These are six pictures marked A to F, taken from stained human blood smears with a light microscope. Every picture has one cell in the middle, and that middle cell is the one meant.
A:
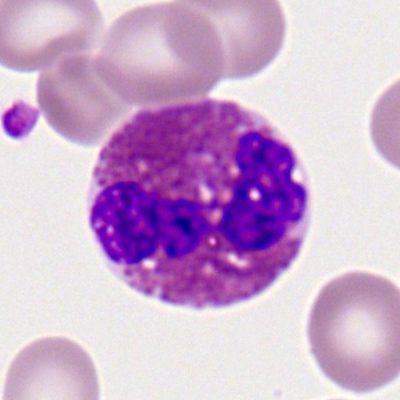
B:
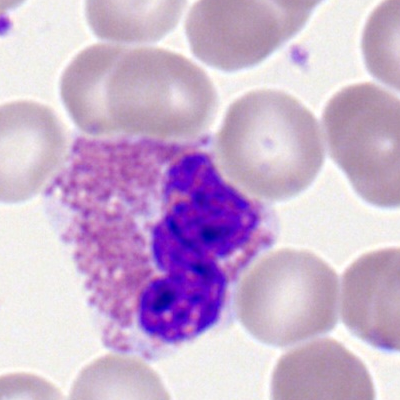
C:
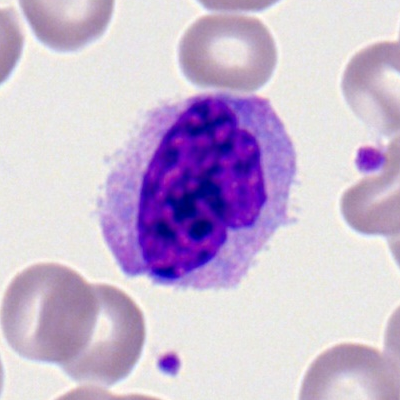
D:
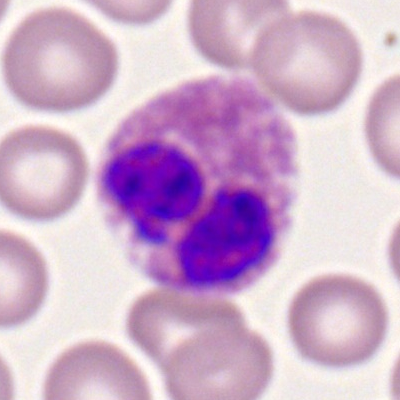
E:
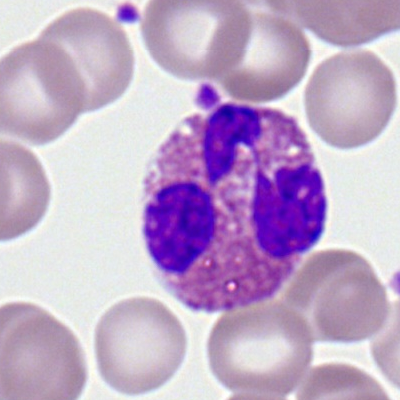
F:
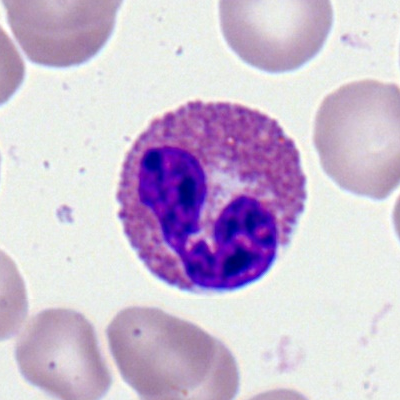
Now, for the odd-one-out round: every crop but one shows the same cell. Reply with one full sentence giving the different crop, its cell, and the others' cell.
Crop C differs: it is a monocyte, and all the other crops show eosinophils.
